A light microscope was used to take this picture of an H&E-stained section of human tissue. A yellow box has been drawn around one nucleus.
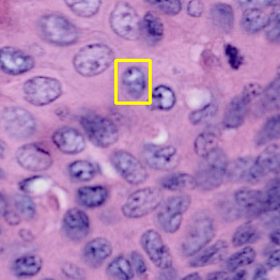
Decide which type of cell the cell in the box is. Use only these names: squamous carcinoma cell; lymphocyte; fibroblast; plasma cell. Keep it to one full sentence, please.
So far as cell type goes, the cell in the box is a squamous carcinoma cell.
